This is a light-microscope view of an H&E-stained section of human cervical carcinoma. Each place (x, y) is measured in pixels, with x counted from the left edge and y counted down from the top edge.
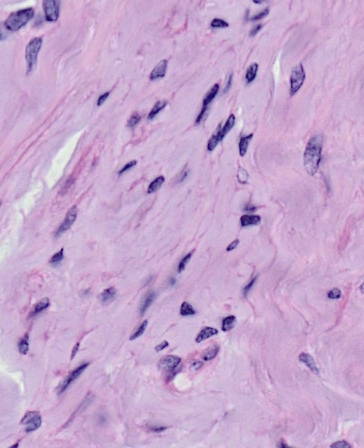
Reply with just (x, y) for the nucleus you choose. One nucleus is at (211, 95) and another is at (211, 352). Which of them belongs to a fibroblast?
(211, 95)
